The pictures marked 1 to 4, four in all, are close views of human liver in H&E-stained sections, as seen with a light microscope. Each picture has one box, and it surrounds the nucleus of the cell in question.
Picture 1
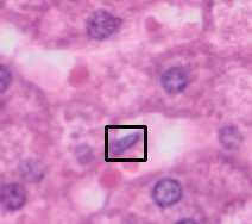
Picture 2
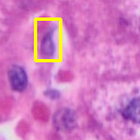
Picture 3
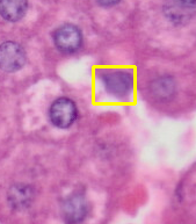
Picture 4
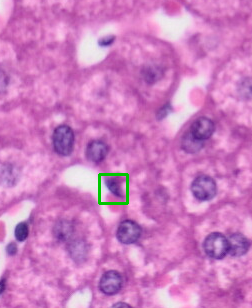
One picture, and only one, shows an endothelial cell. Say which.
4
